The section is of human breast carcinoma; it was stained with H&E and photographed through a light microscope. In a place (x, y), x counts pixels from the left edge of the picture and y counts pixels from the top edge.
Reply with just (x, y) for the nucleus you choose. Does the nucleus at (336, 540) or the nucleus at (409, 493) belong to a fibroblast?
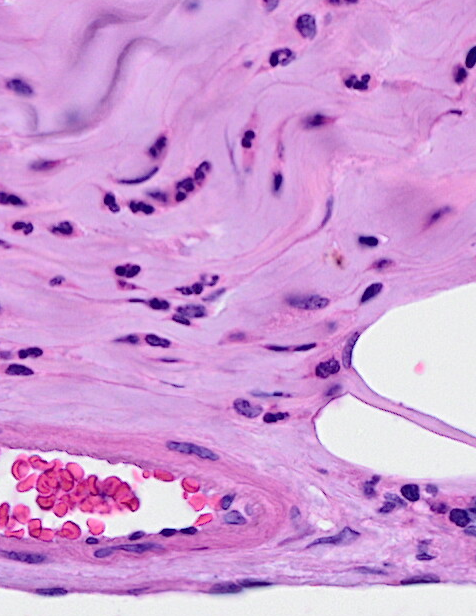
(336, 540)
